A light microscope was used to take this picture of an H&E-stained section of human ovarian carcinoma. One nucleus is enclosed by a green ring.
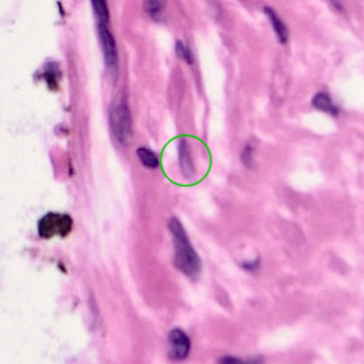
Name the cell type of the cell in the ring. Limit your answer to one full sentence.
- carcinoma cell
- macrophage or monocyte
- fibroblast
As classified here, the cell in the ring is a fibroblast.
